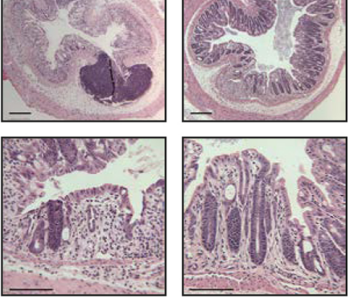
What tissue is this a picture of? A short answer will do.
Colonic mucosa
